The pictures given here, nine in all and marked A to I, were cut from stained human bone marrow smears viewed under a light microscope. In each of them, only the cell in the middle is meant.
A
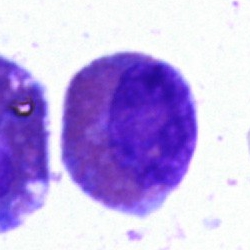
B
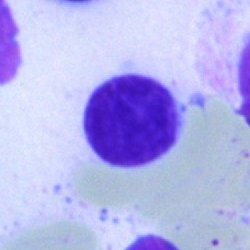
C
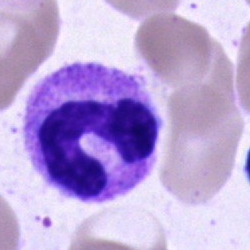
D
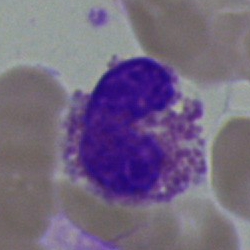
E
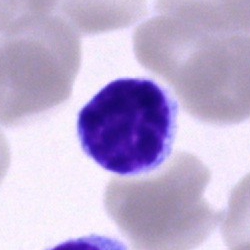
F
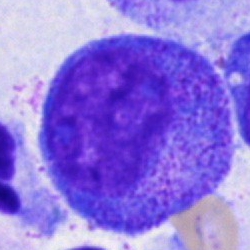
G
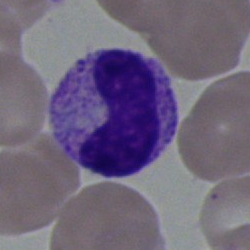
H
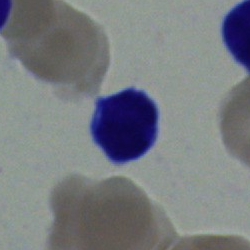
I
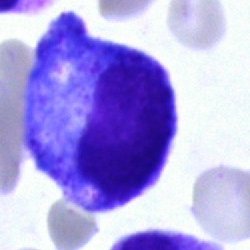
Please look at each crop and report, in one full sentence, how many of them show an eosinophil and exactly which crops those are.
In short, two crops contain eosinophils: A and D.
